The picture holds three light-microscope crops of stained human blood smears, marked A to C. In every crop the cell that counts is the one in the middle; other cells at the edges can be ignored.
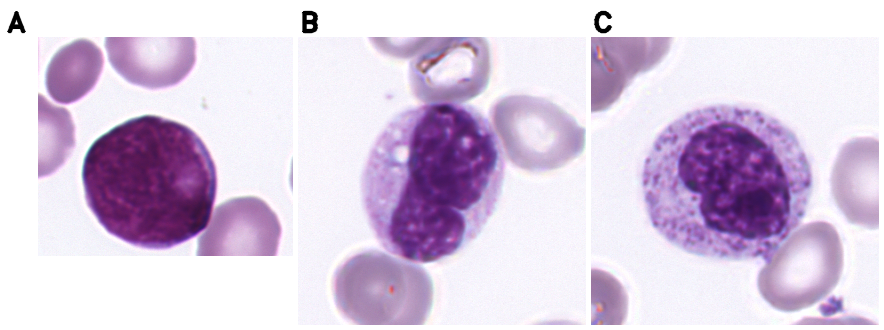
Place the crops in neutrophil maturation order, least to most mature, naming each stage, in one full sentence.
Listed in order of increasing maturity, the crops are crop A (a blast), crop C (a metamyelocyte) and crop B (a band neutrophil).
